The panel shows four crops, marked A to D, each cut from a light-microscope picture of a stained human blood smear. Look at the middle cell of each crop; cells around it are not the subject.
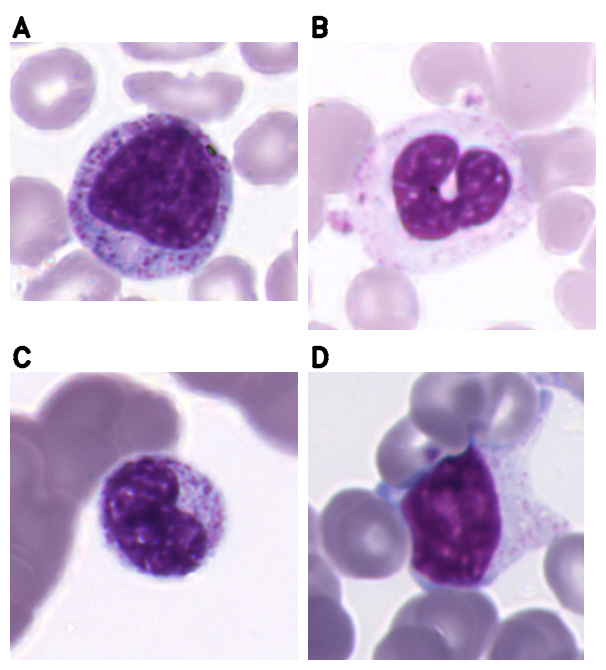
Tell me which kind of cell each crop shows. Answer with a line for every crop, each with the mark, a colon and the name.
A: myelocyte
B: band neutrophil
C: metamyelocyte
D: large granular lymphocyte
